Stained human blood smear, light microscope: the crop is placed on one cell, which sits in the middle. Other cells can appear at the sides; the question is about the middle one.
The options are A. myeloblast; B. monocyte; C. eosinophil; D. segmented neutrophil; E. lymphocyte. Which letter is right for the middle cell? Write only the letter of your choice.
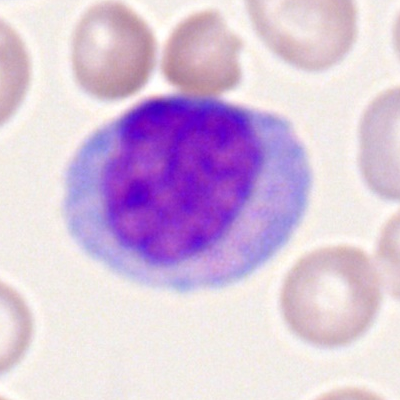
B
